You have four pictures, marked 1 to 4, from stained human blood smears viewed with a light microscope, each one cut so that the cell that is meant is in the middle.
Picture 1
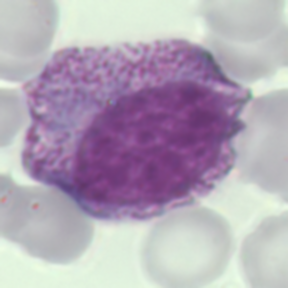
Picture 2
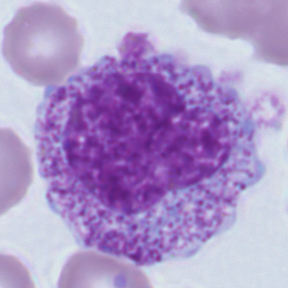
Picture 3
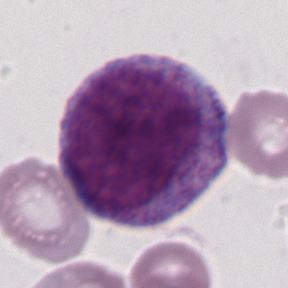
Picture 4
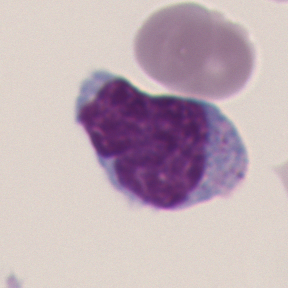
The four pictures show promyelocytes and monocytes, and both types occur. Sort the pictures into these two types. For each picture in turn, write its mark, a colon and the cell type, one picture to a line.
1: promyelocyte
2: promyelocyte
3: promyelocyte
4: monocyte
